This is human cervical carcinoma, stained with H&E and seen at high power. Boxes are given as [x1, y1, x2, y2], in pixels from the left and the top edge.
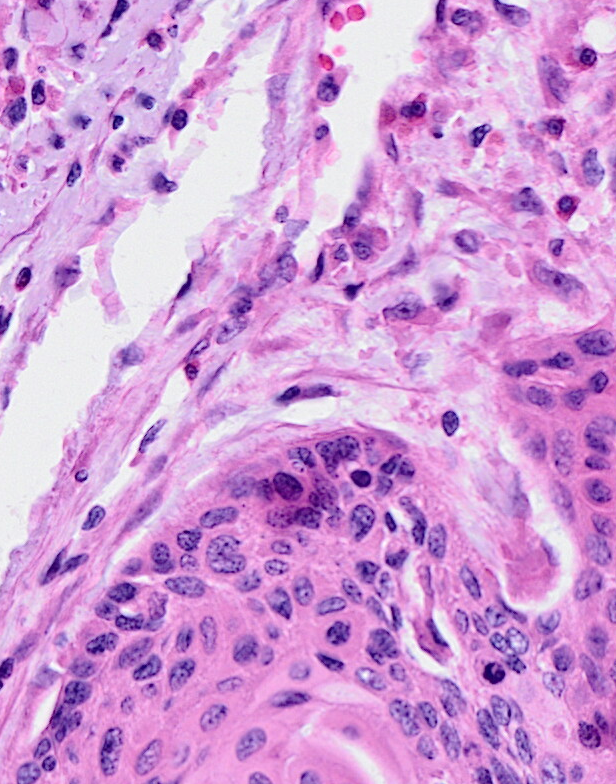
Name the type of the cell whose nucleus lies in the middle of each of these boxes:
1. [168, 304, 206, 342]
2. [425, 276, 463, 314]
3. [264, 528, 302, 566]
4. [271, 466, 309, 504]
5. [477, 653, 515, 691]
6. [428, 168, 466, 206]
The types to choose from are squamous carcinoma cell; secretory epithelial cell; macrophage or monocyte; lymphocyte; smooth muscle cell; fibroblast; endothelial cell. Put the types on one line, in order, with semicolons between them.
fibroblast; macrophage or monocyte; squamous carcinoma cell; squamous carcinoma cell; squamous carcinoma cell; fibroblast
